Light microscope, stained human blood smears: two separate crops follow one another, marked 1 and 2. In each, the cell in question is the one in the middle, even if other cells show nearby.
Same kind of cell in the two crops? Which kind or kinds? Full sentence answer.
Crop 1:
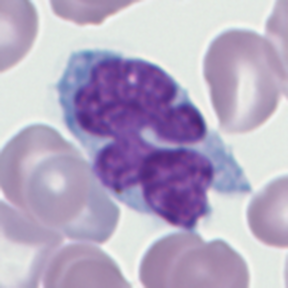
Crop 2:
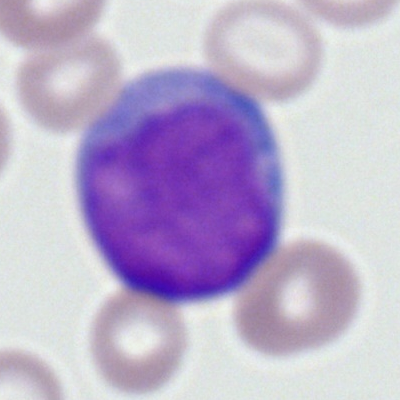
No, shown in crop 1 is a monocyte, and shown in crop 2 is a blast.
